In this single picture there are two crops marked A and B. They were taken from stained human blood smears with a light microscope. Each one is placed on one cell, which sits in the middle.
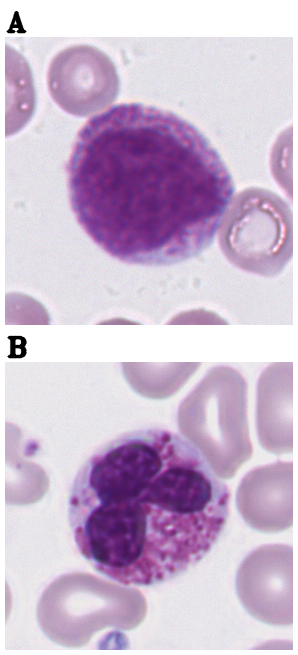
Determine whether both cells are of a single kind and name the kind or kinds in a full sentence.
No, the assignment should read crop A, a myelocyte; crop B, an eosinophil.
